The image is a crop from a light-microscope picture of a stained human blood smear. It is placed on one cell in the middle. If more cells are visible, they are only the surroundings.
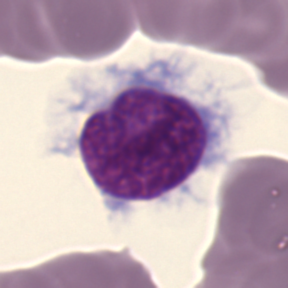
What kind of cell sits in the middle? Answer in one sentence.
Seen at the centre of the crop is a hairy cell.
